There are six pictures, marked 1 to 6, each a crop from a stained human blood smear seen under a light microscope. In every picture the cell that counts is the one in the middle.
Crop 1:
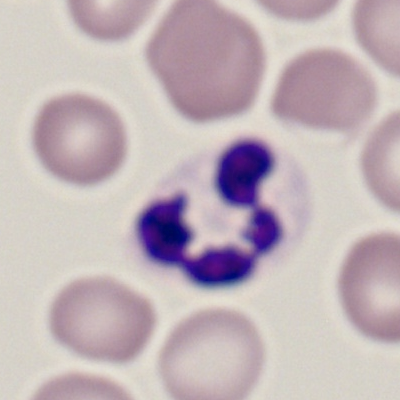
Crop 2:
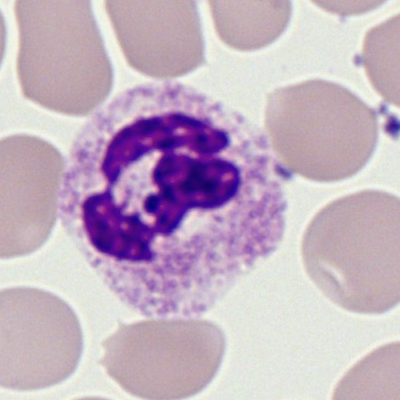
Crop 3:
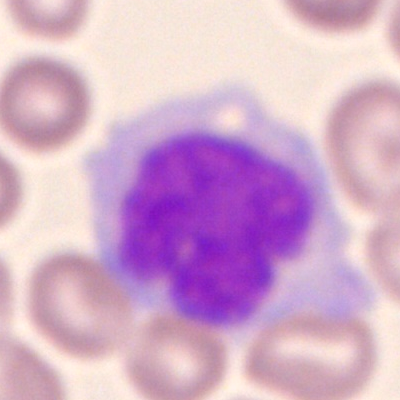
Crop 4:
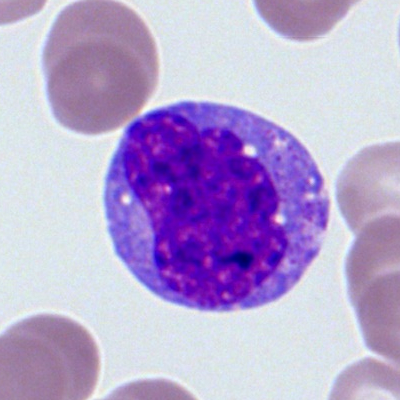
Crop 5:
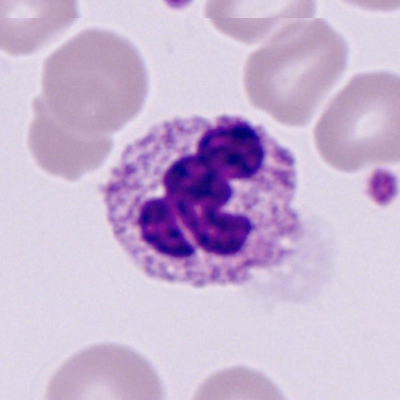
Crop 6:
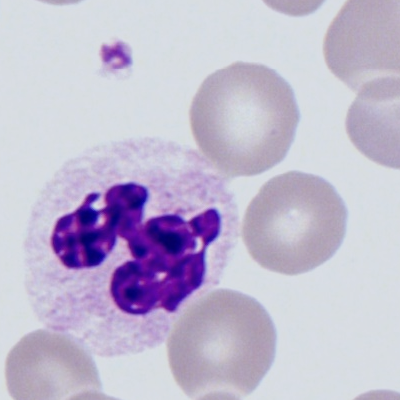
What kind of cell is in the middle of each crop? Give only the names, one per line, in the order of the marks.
neutrophil
neutrophil
monocyte
monocyte
neutrophil
neutrophil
